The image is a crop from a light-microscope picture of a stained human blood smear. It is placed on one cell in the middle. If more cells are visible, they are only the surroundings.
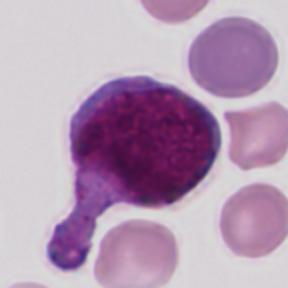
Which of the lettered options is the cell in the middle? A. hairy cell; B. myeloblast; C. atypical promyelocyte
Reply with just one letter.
C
